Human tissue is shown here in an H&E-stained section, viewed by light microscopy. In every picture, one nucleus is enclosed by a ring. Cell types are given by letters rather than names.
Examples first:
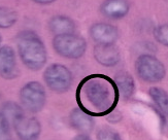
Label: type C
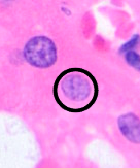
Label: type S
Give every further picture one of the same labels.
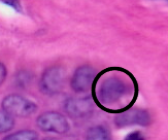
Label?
type C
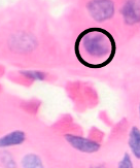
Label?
type S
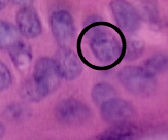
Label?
type C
